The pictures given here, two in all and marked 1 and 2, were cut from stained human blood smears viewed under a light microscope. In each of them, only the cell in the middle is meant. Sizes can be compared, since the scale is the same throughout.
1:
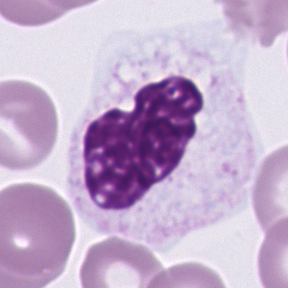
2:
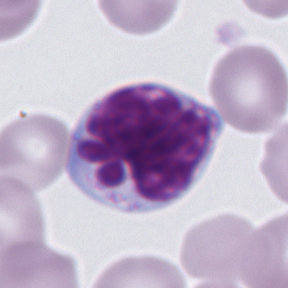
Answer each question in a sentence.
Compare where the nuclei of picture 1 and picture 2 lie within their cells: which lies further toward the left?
In picture 1 the nucleus is shifted more toward the left.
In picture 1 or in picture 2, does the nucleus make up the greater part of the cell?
It is the cell in picture 2 that is filled more by its nucleus.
